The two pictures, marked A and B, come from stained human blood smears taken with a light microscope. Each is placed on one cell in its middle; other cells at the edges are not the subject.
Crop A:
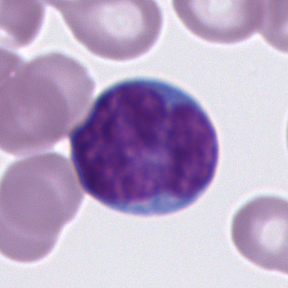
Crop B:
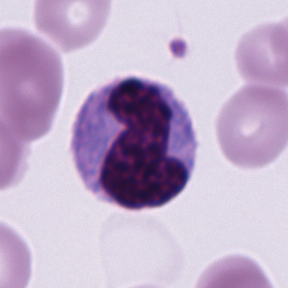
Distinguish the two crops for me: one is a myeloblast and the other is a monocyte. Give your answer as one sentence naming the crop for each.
As for crop A, it is a myeloblast; crop B, by contrast, is a monocyte.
